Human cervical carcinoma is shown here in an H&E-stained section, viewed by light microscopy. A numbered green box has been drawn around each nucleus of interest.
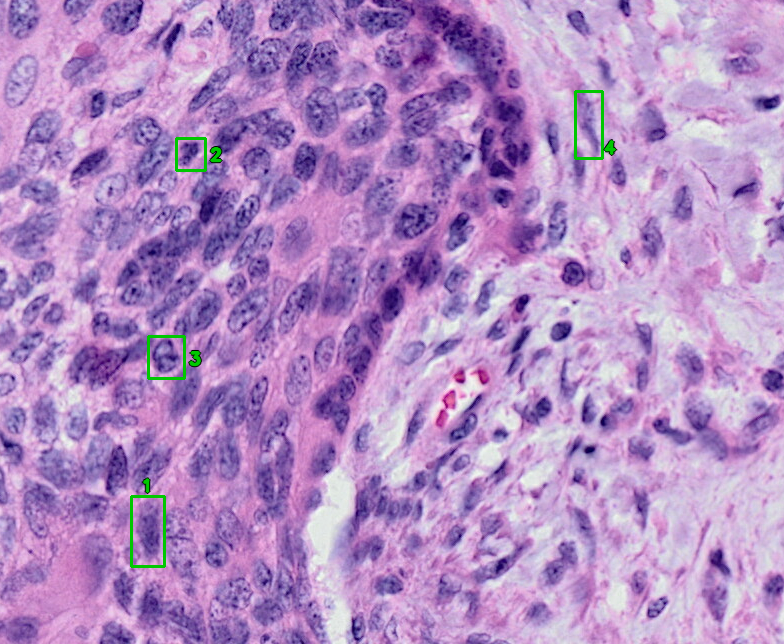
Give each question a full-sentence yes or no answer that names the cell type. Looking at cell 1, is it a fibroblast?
No, cell 1 represents a squamous carcinoma cell rather than a fibroblast.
